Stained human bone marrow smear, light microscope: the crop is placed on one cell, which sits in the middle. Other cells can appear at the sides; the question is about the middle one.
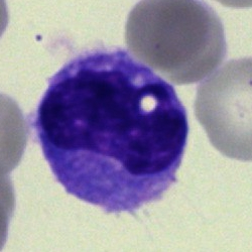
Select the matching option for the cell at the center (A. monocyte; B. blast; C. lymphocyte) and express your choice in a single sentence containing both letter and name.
Option A is right, the centrally situated cell being a monocyte.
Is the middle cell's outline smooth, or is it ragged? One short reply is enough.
The edge is uneven, and this unevenness takes the form of ragged stretches or projections.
